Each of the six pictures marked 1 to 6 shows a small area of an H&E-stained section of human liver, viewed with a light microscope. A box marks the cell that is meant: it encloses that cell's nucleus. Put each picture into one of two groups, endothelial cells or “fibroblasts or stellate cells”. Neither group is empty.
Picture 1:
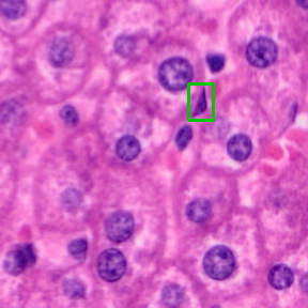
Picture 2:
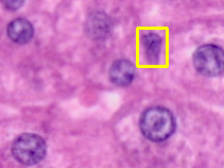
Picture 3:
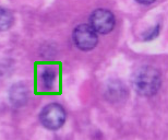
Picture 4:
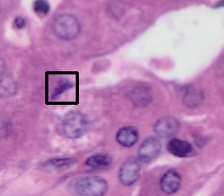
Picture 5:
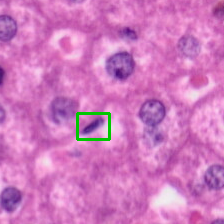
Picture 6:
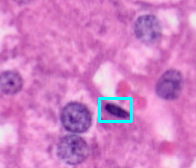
1: endothelial cell
2: fibroblast or stellate cell
3: fibroblast or stellate cell
4: fibroblast or stellate cell
5: endothelial cell
6: fibroblast or stellate cell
